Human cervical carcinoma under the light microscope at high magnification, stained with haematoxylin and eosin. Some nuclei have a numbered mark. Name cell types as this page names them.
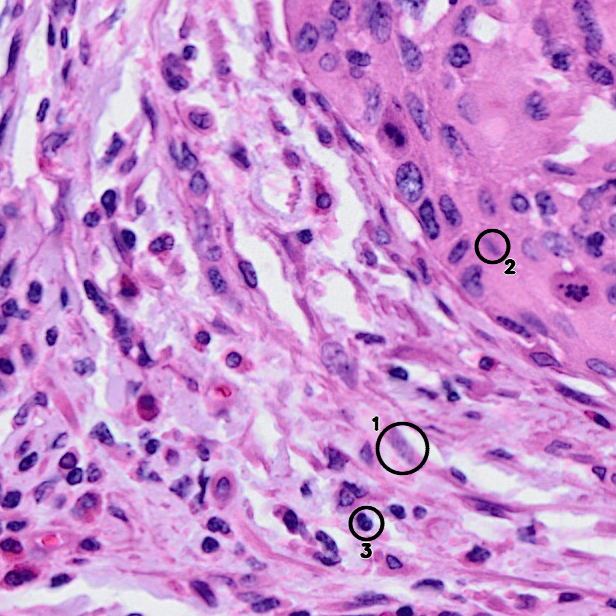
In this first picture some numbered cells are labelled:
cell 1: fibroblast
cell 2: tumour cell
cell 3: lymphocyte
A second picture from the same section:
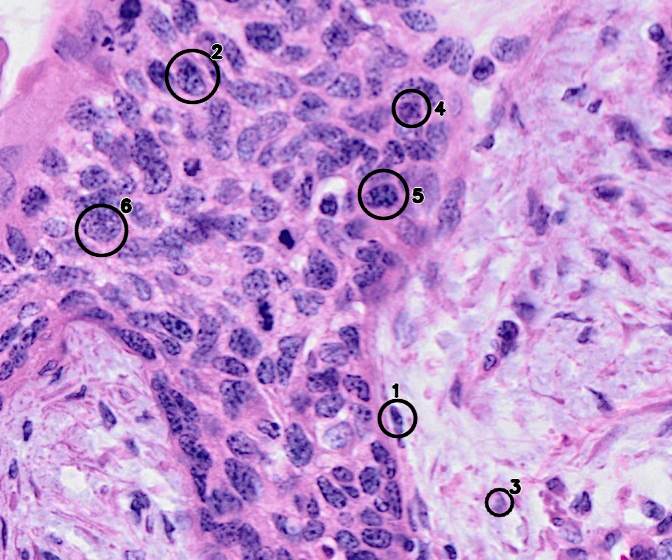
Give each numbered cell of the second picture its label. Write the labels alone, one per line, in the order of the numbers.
lymphocyte
tumour cell
fibroblast
tumour cell
tumour cell
tumour cell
